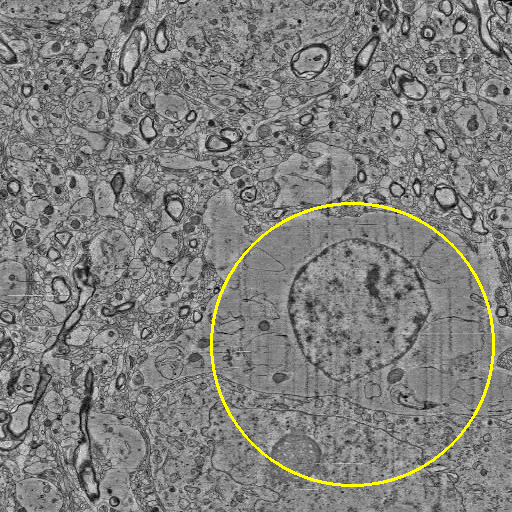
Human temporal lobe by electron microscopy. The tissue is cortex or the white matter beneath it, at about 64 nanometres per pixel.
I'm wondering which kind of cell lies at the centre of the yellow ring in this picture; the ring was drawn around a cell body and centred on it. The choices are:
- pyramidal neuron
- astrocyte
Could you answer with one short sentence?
At the centre of the ring lies an astrocyte.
